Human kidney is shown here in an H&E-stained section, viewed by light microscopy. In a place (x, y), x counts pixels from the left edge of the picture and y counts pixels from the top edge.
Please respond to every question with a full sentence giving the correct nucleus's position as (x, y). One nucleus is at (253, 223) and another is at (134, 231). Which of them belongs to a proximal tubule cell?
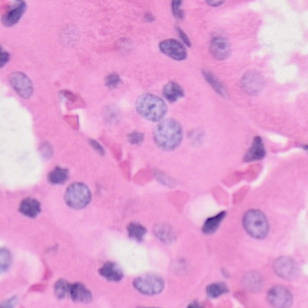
Which one belongs to a proximal tubule cell? The nucleus at (253, 223) does.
